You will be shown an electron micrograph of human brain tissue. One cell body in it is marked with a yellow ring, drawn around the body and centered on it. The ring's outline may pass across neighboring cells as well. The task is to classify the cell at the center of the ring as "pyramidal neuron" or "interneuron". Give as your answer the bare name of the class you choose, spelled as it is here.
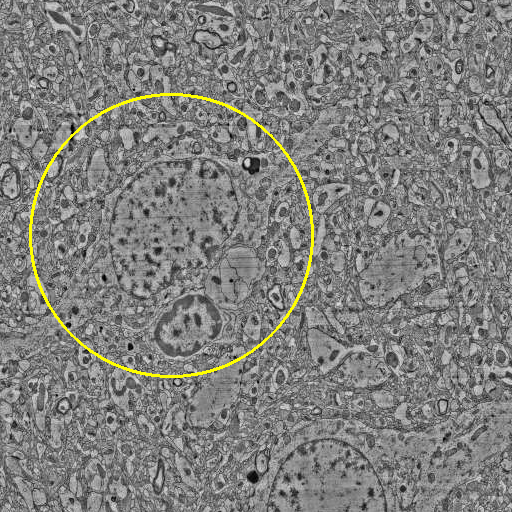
interneuron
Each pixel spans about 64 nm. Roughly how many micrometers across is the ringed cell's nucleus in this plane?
Approximately 9 by 7 micrometers in this plane.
